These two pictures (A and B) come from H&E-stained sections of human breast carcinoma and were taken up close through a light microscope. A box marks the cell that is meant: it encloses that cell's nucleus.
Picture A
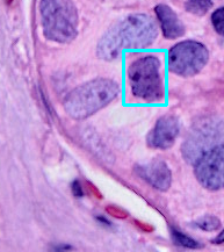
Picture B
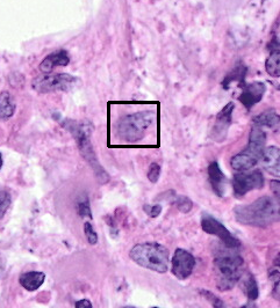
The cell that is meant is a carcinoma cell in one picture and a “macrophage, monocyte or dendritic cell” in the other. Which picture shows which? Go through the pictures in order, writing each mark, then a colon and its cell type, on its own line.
A: carcinoma cell
B: macrophage, monocyte or dendritic cell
